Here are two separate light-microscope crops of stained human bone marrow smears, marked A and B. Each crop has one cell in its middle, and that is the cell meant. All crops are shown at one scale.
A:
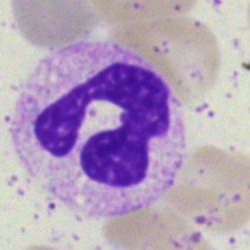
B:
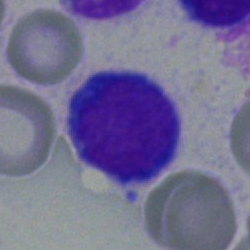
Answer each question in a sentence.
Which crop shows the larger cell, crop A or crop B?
The cell in crop A is larger, with about 2 times the area of the one in crop B.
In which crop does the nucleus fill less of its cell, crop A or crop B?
The nucleus fills less of the cell in crop A than in crop B.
